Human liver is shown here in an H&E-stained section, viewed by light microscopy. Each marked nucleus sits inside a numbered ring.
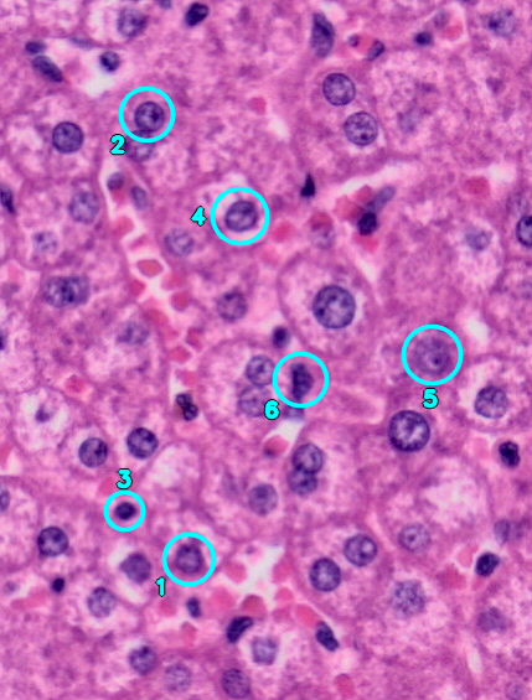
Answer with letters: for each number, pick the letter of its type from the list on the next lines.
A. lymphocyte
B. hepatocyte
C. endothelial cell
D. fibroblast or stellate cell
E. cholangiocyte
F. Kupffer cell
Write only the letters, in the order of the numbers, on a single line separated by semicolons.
B; B; A; B; B; D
